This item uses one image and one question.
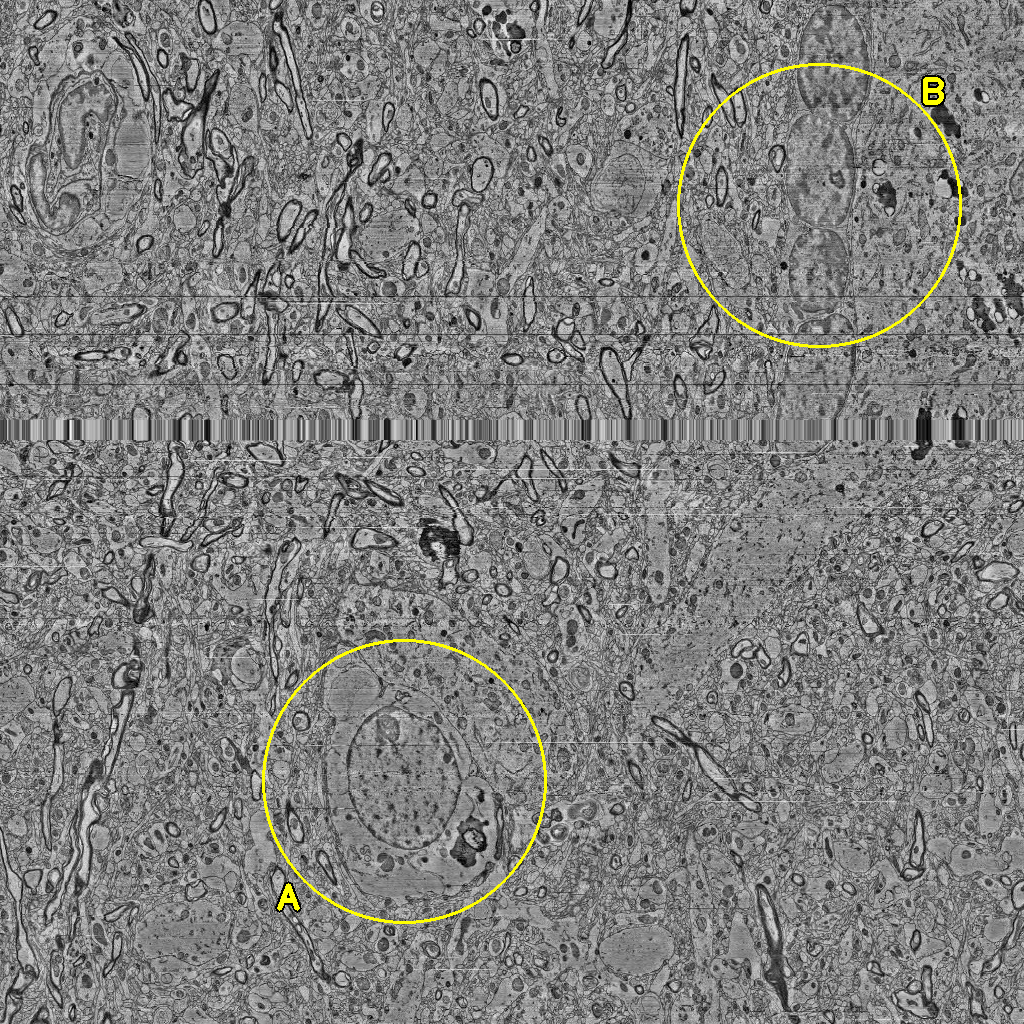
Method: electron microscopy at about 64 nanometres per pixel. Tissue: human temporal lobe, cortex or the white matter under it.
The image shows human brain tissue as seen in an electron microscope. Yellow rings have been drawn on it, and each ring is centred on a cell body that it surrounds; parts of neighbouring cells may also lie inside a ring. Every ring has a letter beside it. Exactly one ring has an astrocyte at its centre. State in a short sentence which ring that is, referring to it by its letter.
Ring A has that cell at its centre.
